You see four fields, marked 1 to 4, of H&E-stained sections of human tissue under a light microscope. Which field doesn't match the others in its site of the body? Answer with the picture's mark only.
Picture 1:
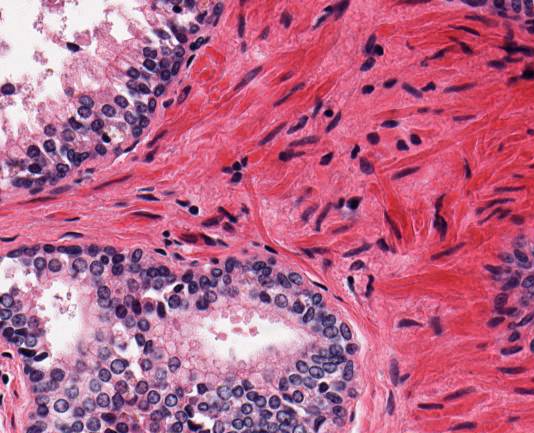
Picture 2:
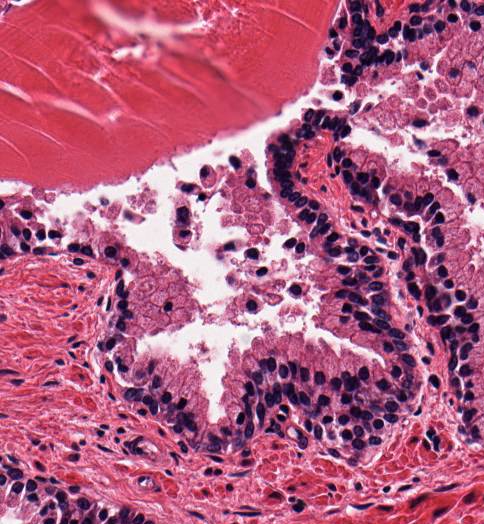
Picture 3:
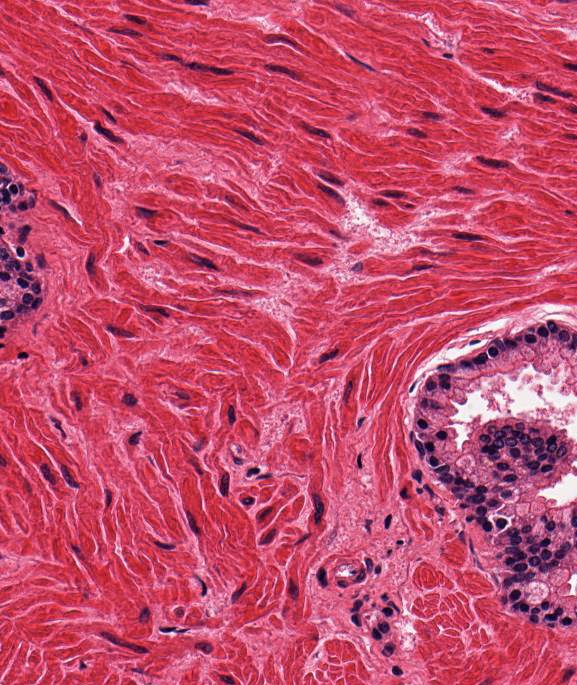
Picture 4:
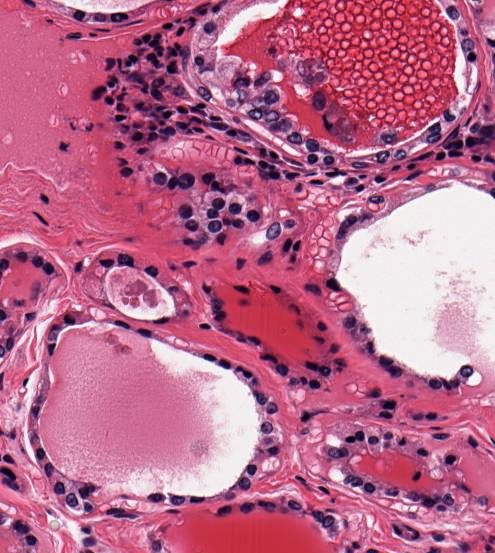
4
